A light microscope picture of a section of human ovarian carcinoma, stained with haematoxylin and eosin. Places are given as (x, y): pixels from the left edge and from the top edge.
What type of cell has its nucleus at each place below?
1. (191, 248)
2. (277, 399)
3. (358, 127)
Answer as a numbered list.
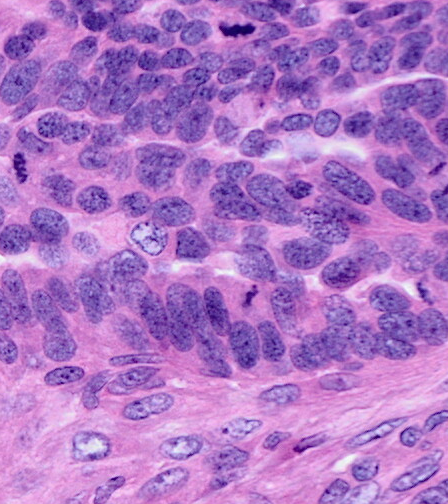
1. carcinoma cell
2. fibroblast
3. carcinoma cell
